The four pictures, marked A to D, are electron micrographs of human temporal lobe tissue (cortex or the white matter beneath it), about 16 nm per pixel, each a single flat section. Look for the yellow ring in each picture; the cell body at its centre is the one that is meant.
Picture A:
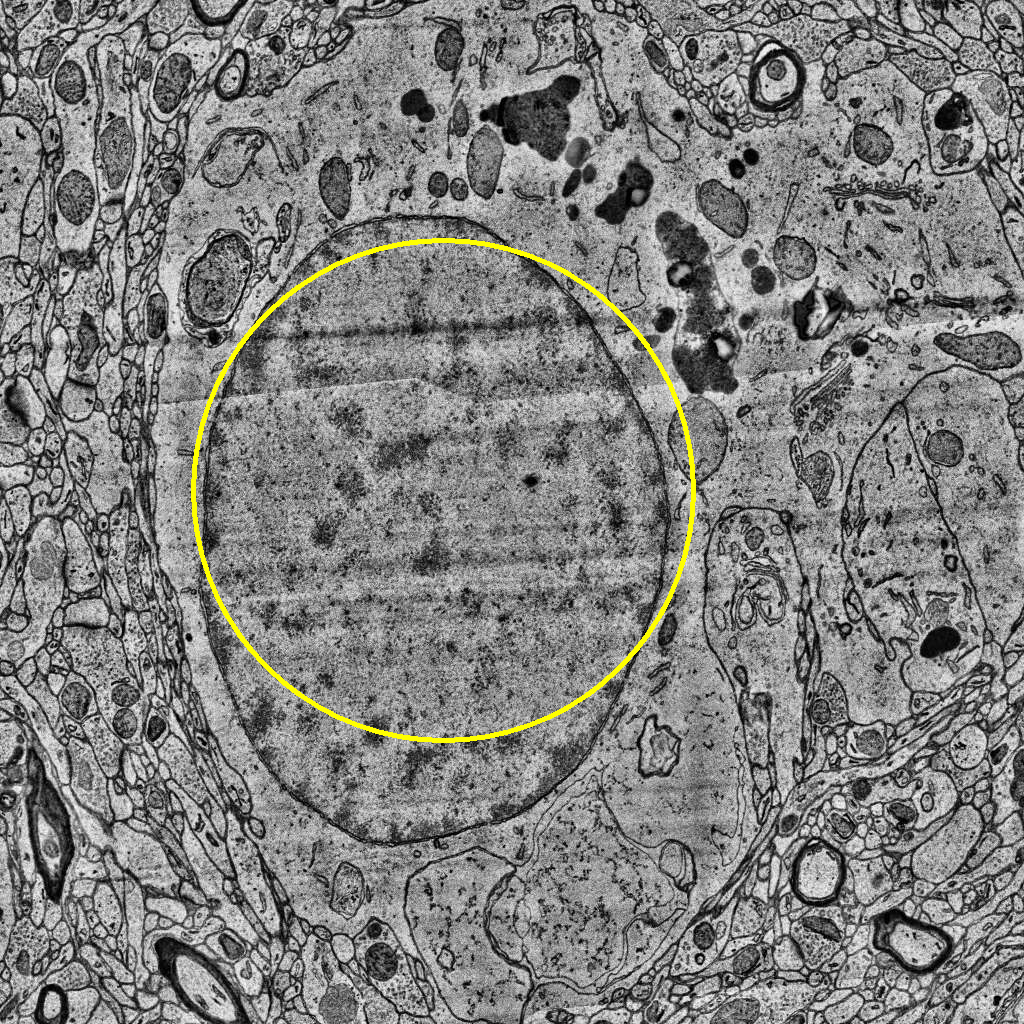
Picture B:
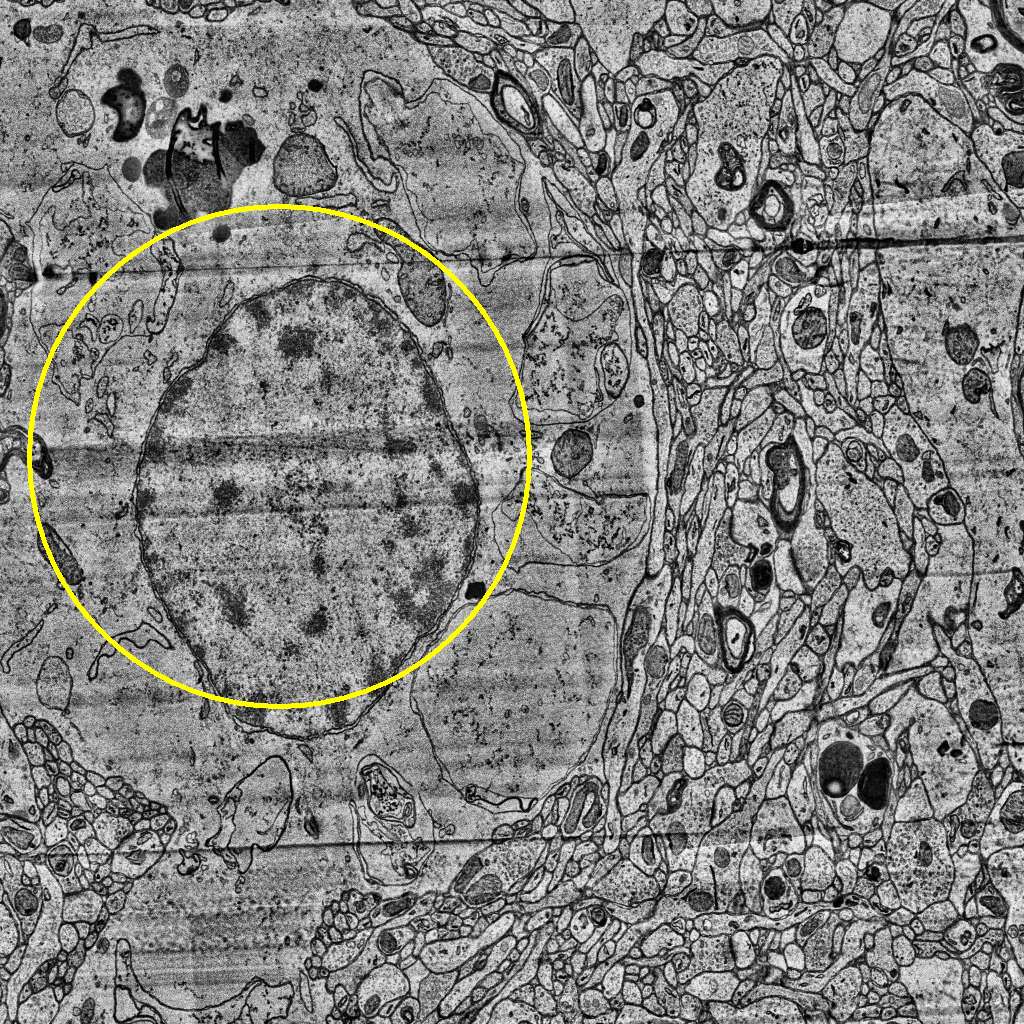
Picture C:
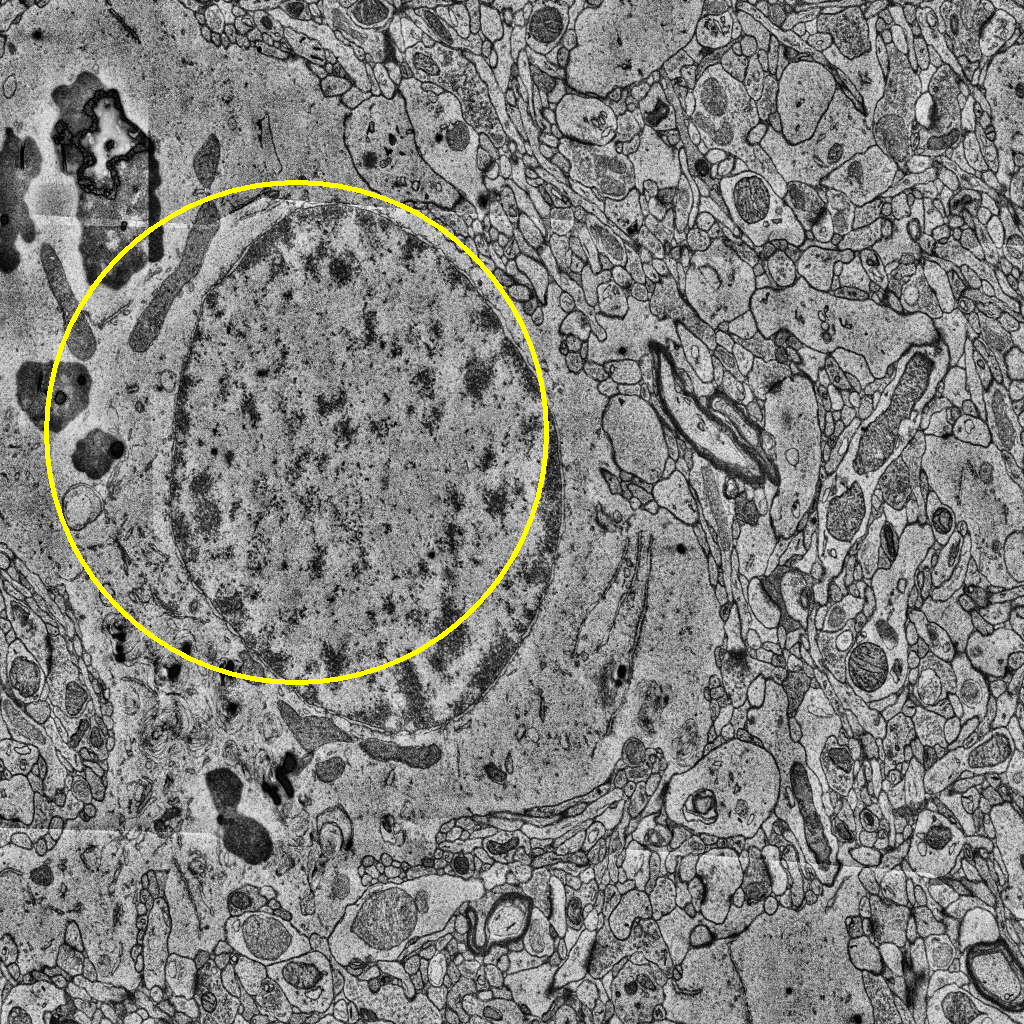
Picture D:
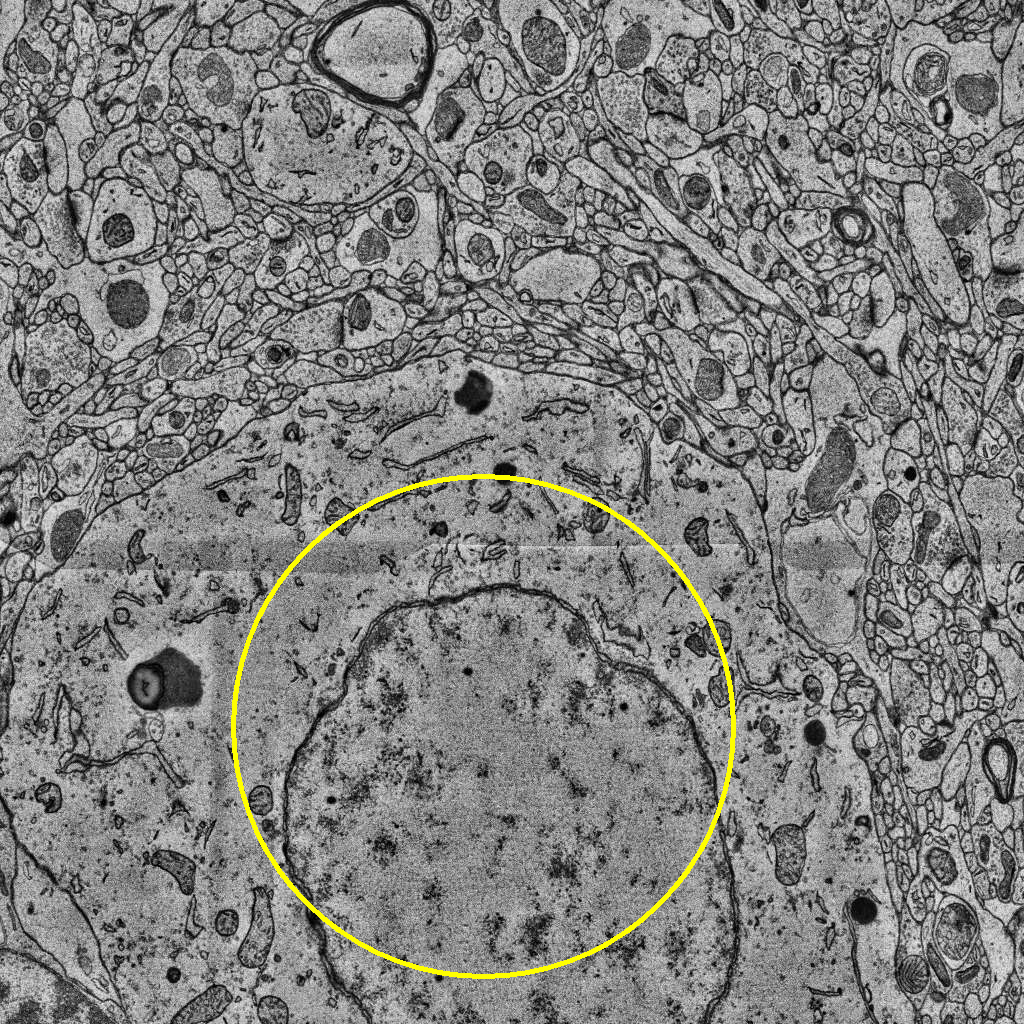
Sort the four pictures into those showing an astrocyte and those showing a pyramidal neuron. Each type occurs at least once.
Pictures A, B and C show astrocytes; picture D shows a pyramidal neuron.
